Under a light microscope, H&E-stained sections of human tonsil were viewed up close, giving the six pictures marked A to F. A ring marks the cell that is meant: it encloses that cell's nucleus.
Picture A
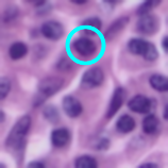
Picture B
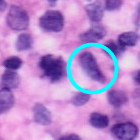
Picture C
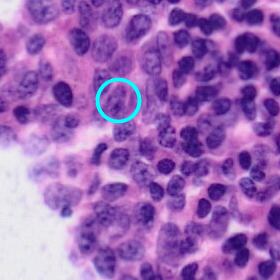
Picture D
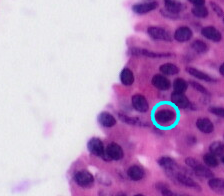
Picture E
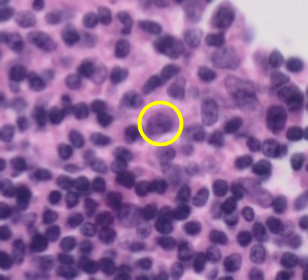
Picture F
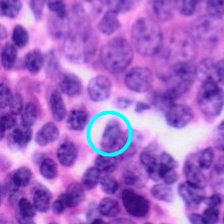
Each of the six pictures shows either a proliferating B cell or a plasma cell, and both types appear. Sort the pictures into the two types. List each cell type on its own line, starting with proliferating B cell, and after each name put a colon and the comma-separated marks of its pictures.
proliferating B cell: B, C, E, F
plasma cell: A, D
